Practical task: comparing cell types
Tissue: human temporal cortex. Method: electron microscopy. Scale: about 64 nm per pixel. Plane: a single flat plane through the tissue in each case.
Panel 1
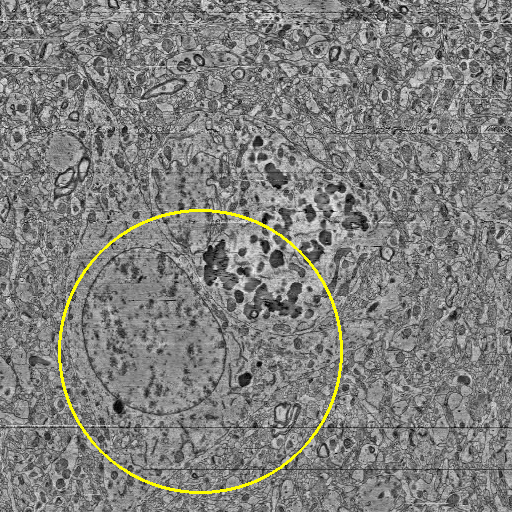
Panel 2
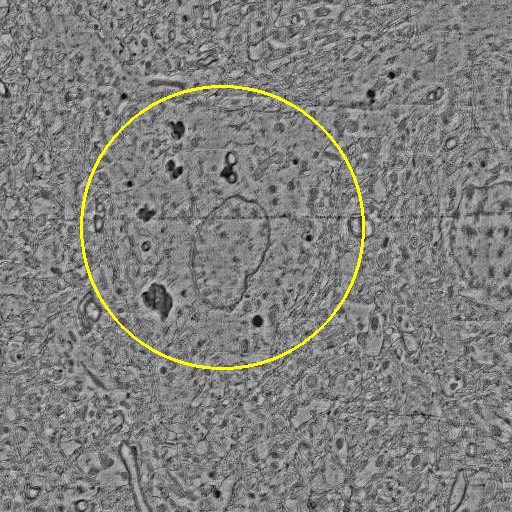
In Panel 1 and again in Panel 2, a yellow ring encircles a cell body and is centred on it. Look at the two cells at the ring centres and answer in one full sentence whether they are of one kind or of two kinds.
The two cells sitting at the ring centres of Panels 1 and 2 are of one kind.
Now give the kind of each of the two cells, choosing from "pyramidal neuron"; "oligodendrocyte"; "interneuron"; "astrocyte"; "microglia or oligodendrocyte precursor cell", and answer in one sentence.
The cell at the ring centre is a pyramidal neuron in both pictures.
